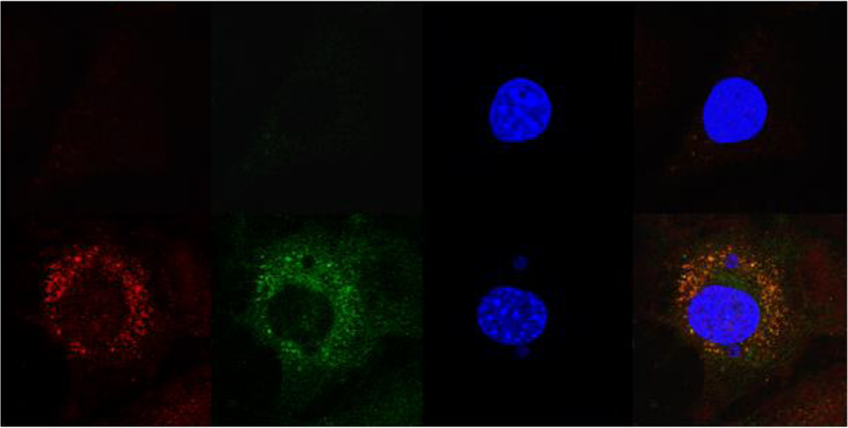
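Cultured cells are shown, each with a single large oval nucleus stained blue. In the lower row, fine red and green granular dots crowd the cytoplasm around the nucleus, and where the two colours overlap in the merged image the dots appear yellow to orange in a ring about the nucleus. In the upper row the red and green channels are faint, with only a few scattered yellow dots beside the nucleus in the merged image.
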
